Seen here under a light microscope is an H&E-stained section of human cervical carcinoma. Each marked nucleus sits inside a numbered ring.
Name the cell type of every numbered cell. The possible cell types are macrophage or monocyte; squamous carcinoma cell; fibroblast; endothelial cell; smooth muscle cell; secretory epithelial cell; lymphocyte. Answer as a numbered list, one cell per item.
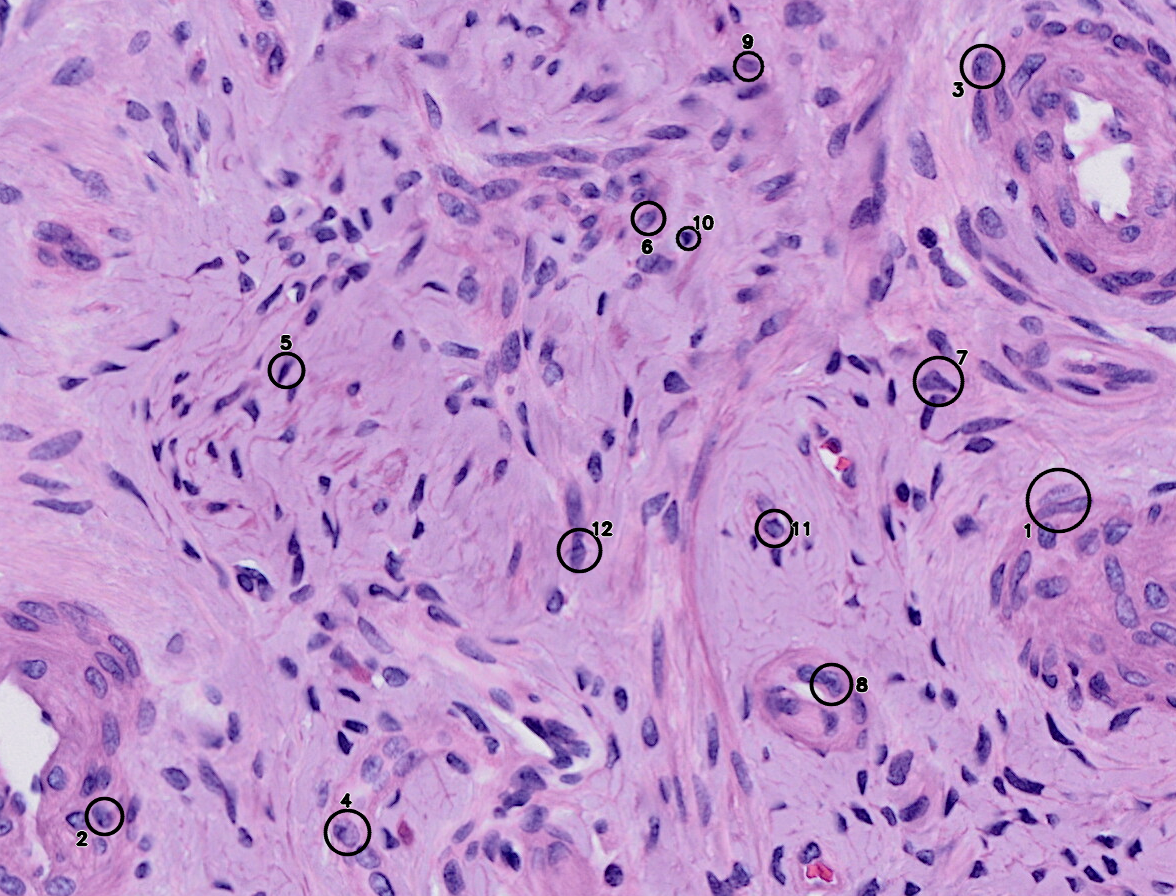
1. smooth muscle cell
2. smooth muscle cell
3. smooth muscle cell
4. endothelial cell
5. fibroblast
6. smooth muscle cell
7. fibroblast
8. endothelial cell
9. fibroblast
10. lymphocyte
11. endothelial cell
12. fibroblast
